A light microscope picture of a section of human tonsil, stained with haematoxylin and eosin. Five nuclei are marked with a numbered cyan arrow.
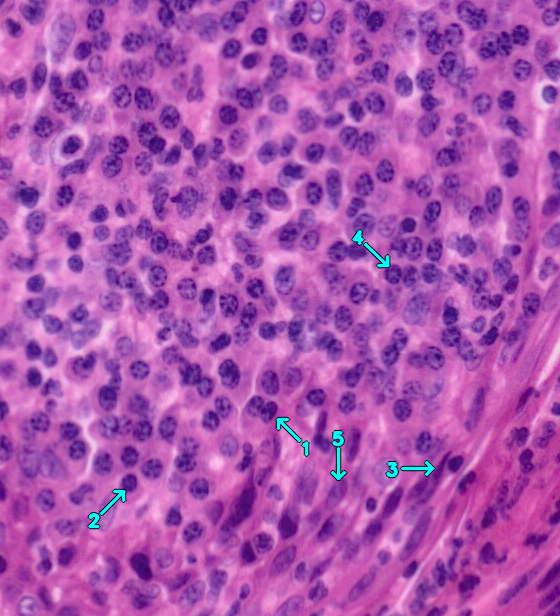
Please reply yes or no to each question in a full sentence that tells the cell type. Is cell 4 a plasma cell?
Yes, what number 4 marks is a plasma cell.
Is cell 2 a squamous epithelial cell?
No, cell 2 has been misnamed; it is a plasma cell, not a squamous epithelial cell.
